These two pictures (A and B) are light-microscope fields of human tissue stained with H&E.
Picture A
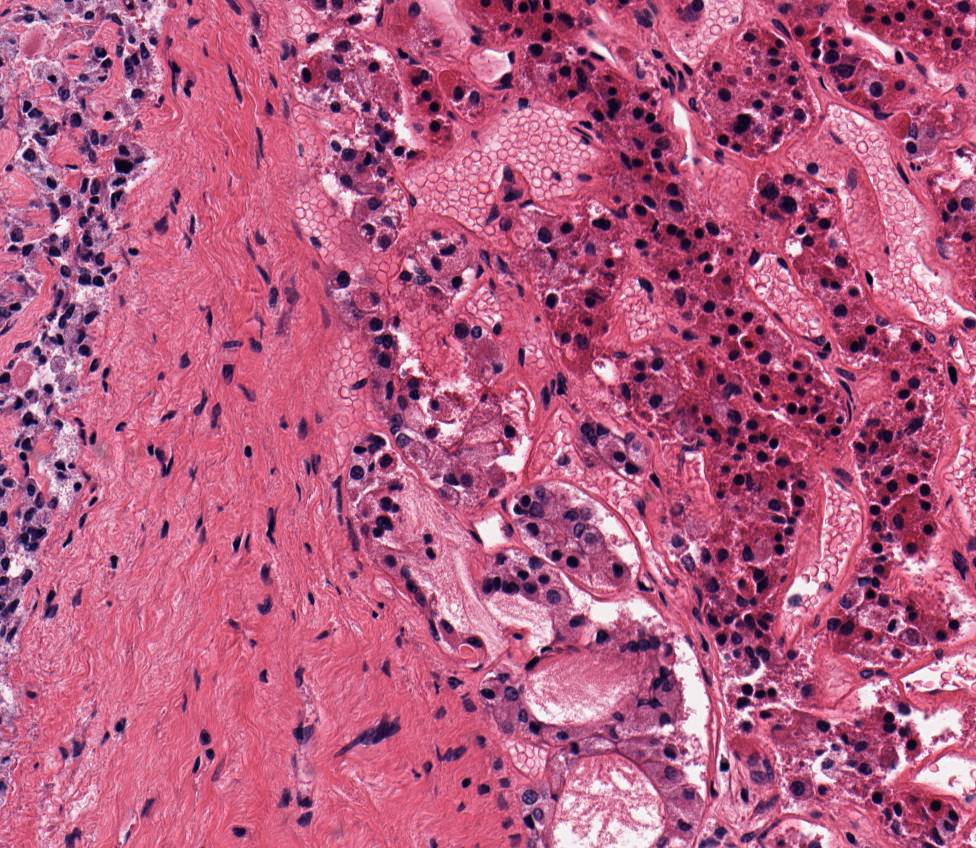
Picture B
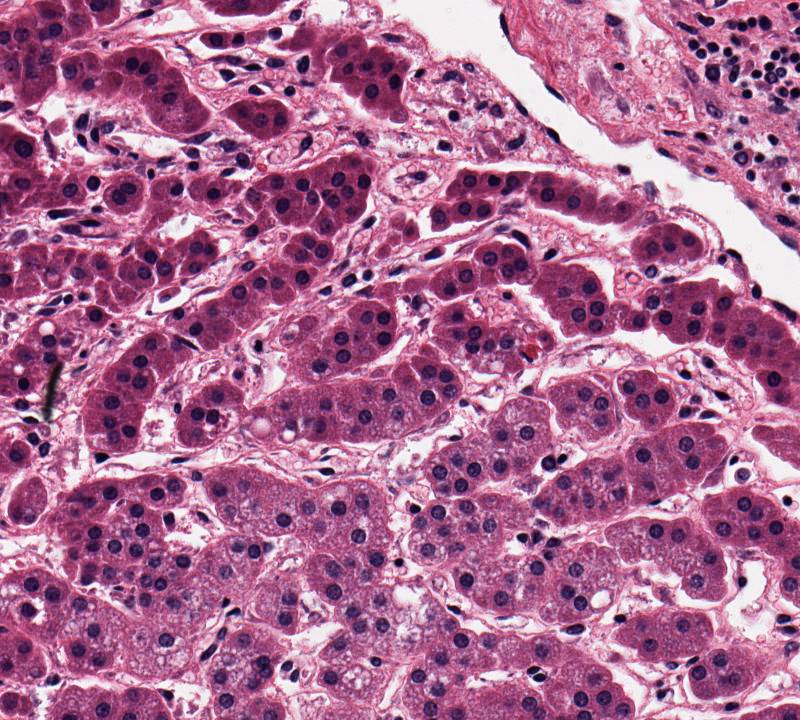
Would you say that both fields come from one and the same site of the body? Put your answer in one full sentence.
No. Picture A comes from the pituitary, whereas picture B comes from the adrenal gland.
